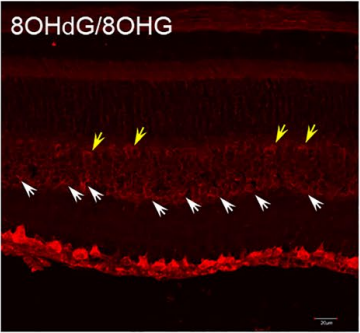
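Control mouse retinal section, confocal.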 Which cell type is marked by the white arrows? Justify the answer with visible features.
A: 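The white arrows point to weakly red cell bodies at the inner edge of the inner nuclear layer. These cells border the broad dark plexiform band above the bright ganglion cell row. On this evidence: amacrine cells.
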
